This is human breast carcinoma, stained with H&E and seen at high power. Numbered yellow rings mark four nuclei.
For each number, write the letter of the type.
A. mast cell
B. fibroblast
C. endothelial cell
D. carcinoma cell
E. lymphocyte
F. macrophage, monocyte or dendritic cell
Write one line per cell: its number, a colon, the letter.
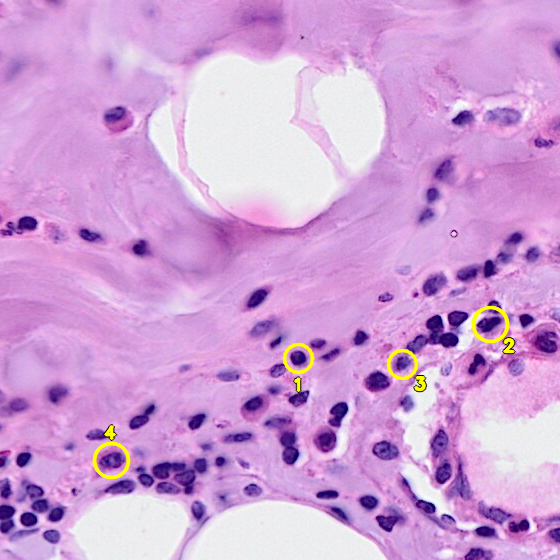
1: E
2: E
3: E
4: A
